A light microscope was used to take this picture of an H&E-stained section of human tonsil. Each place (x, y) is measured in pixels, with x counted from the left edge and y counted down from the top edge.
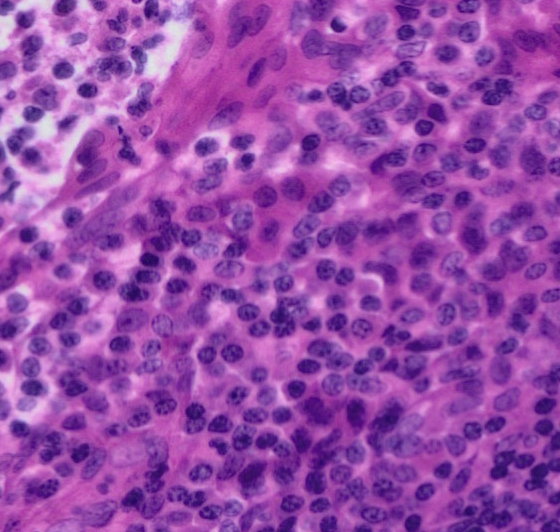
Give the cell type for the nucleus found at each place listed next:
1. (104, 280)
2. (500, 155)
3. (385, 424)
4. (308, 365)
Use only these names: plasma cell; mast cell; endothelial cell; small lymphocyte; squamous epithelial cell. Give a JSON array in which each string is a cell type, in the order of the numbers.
["plasma cell", "squamous epithelial cell", "squamous epithelial cell", "plasma cell"]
